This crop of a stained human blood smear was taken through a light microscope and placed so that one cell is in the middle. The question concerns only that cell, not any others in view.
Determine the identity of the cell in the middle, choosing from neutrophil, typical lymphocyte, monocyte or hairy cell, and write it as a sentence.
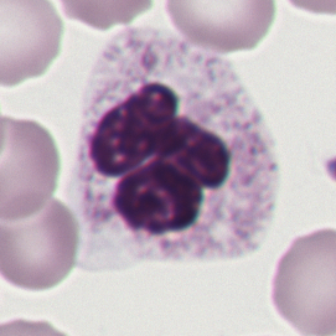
The cell the crop is centered on is a neutrophil.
